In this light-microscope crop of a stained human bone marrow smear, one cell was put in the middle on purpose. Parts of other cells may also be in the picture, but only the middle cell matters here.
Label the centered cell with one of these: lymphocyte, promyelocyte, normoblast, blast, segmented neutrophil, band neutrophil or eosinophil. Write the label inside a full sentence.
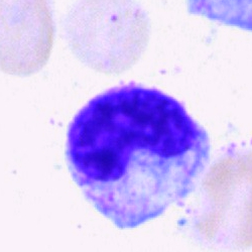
The crop shows a band neutrophil in its centre.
